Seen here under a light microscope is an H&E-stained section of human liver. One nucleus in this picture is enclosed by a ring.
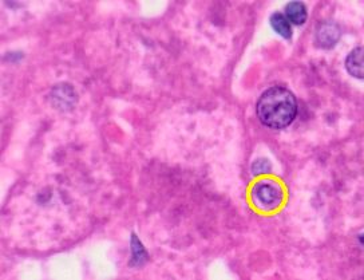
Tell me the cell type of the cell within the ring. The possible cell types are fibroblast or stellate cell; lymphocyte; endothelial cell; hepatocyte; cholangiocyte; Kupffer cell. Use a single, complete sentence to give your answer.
In cell-type terms, the cell within the ring is a Kupffer cell.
